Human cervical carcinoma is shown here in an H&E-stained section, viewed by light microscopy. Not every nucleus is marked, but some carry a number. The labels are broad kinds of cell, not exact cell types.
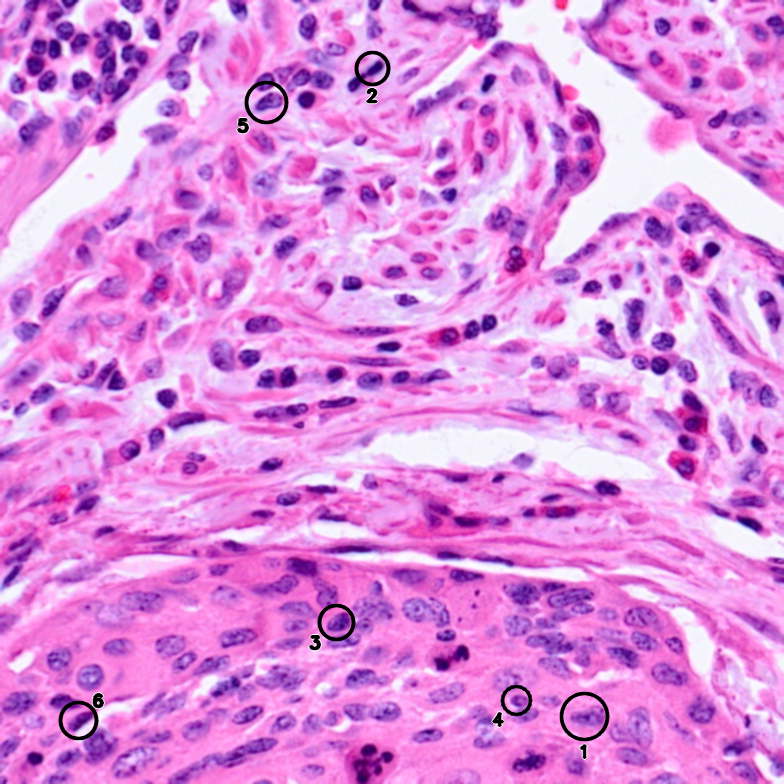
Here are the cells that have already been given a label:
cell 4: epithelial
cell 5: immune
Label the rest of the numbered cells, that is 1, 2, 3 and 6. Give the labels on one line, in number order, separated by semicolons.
epithelial; immune; epithelial; epithelial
